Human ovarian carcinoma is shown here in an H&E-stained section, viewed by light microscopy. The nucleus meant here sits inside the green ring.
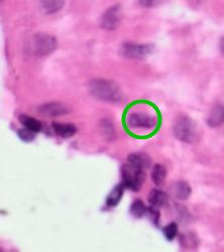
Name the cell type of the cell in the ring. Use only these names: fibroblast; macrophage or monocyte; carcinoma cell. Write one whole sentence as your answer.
The identity of the cell in the ring is that of a fibroblast.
